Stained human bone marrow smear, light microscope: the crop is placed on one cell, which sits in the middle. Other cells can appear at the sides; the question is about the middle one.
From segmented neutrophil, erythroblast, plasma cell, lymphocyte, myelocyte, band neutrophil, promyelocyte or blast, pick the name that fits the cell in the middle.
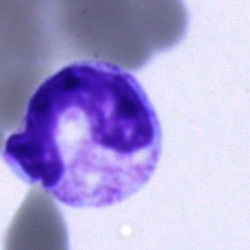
band neutrophil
